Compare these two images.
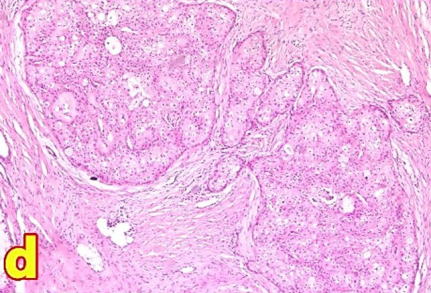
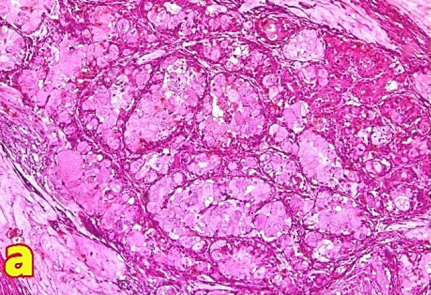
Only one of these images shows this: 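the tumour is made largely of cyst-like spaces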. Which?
The second image.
